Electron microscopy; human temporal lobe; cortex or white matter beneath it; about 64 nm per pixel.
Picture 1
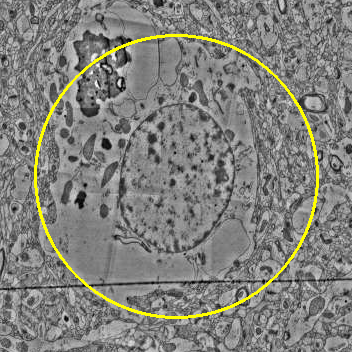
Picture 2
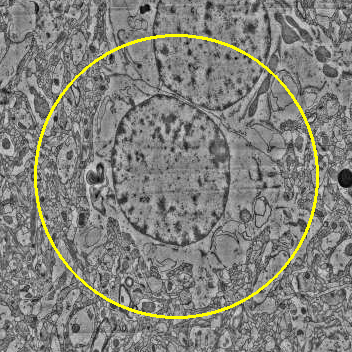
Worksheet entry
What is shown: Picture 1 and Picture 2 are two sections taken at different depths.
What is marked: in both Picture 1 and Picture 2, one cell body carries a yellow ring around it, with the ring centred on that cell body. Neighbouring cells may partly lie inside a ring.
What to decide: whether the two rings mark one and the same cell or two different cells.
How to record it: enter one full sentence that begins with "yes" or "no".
No, the rings single out two cells that are separate from each other.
